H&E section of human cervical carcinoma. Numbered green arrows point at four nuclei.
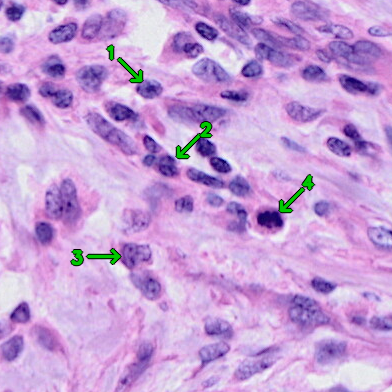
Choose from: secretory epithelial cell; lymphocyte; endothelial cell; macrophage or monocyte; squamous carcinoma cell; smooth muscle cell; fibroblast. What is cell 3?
macrophage or monocyte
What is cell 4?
lymphocyte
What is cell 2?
lymphocyte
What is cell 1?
lymphocyte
